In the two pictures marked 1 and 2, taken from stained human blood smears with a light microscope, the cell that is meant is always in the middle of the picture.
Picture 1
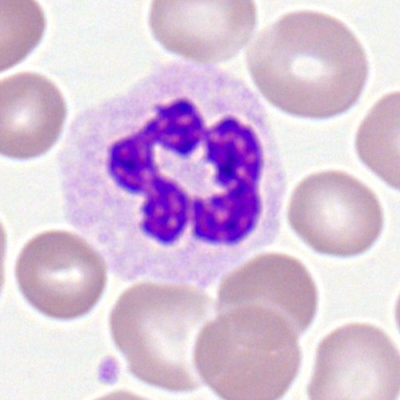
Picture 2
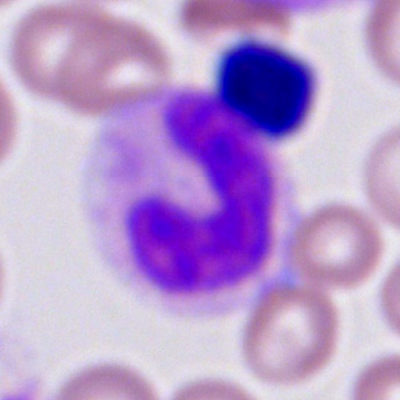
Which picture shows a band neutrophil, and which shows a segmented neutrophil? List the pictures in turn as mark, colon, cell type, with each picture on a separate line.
1: segmented neutrophil
2: band neutrophil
